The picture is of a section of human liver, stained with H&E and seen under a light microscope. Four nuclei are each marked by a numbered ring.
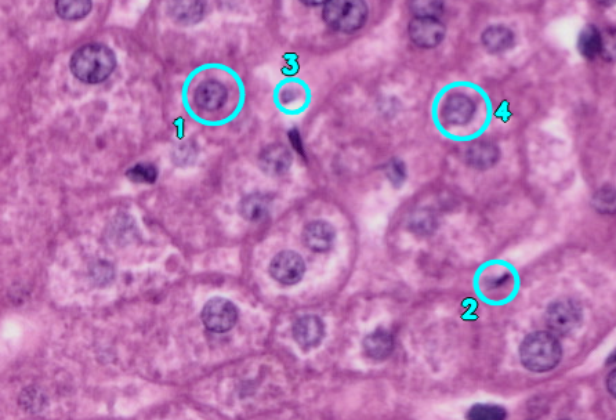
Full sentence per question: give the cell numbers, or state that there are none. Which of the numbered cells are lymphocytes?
There is just one numbered cell that is a lymphocyte, and it is cell 3.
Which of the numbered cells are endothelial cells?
Just the cell marked 2 is an endothelial cell; none of the other marked cells is.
